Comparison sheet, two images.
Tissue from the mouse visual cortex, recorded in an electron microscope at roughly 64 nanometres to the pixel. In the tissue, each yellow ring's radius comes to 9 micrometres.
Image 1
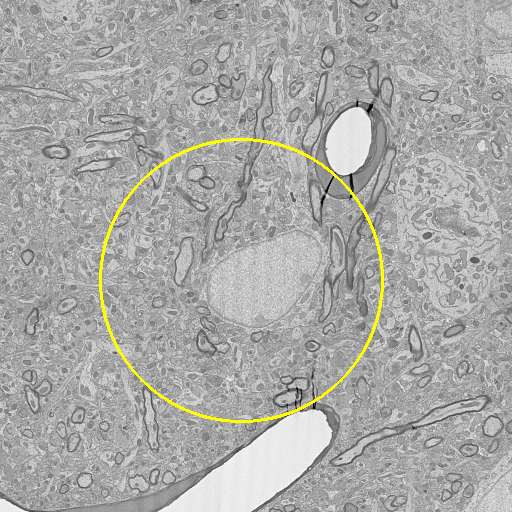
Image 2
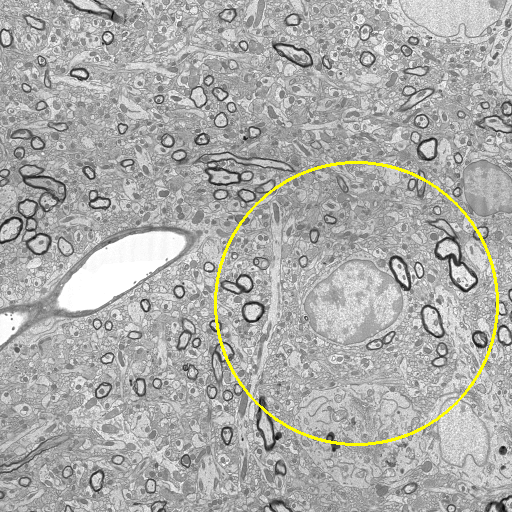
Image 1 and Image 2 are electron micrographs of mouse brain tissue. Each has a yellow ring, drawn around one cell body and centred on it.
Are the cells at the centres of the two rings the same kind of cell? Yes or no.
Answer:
no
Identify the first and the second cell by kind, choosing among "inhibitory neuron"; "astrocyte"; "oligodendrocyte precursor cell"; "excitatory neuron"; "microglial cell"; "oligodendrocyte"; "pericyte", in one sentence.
The one in the first picture is an astrocyte, while the one in the second is an oligodendrocyte.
